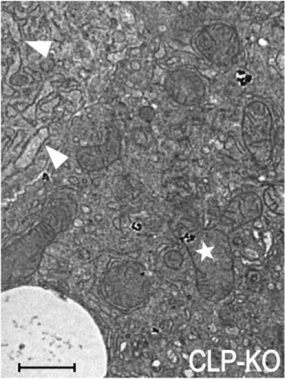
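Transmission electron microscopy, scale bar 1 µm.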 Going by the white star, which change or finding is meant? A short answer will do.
Morphologically abnormal mitochondrion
